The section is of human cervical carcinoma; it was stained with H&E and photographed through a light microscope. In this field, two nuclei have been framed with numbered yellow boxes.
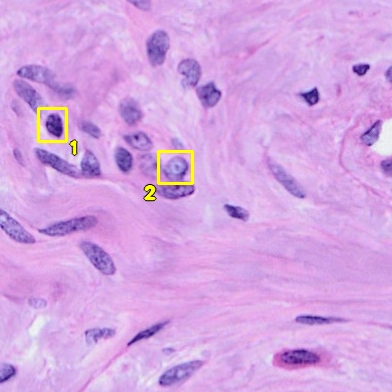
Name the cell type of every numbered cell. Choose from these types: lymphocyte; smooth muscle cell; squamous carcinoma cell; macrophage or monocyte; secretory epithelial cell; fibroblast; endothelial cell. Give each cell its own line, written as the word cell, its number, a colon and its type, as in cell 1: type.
cell 1: lymphocyte
cell 2: endothelial cell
